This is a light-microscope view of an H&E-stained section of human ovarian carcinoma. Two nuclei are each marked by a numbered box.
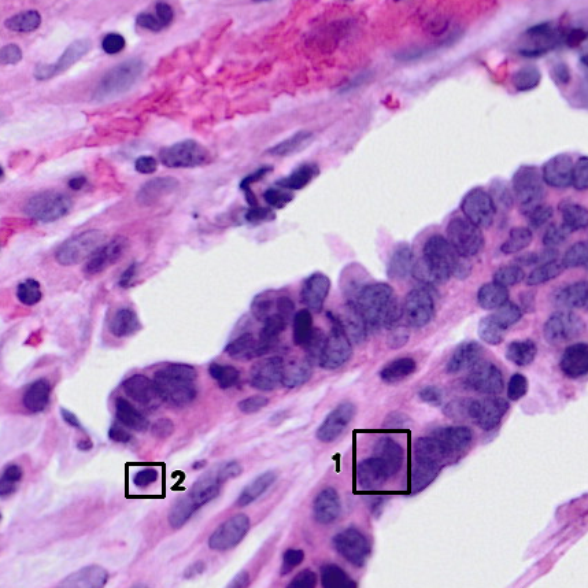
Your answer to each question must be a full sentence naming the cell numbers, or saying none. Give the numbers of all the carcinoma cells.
Across all the numbered cells, only number 1 is a carcinoma cell.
